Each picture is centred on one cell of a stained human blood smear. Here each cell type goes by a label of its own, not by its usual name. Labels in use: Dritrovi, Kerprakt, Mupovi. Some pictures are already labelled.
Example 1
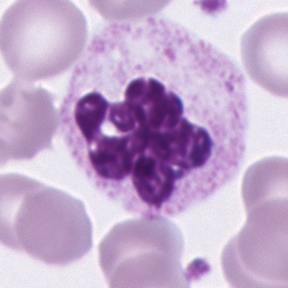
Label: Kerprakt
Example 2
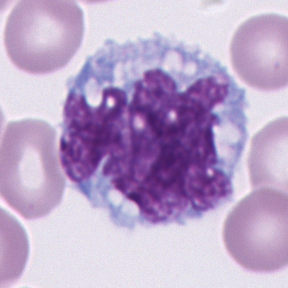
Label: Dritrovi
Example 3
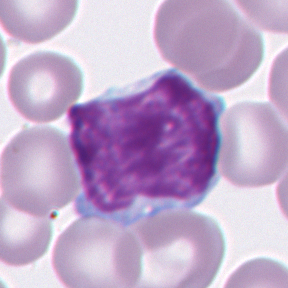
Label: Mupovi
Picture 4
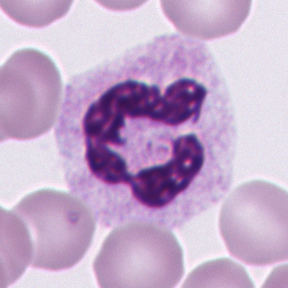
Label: Kerprakt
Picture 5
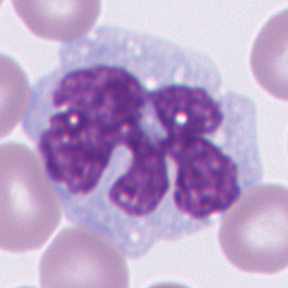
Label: Dritrovi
